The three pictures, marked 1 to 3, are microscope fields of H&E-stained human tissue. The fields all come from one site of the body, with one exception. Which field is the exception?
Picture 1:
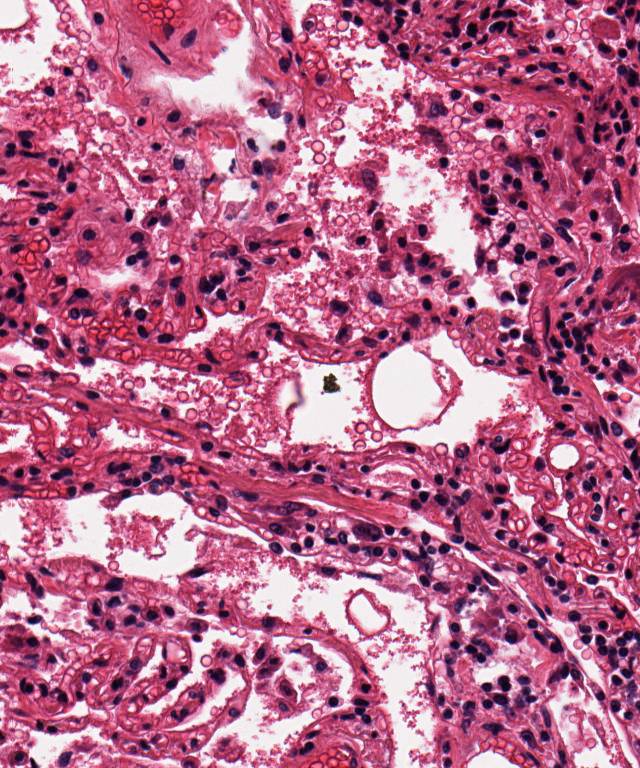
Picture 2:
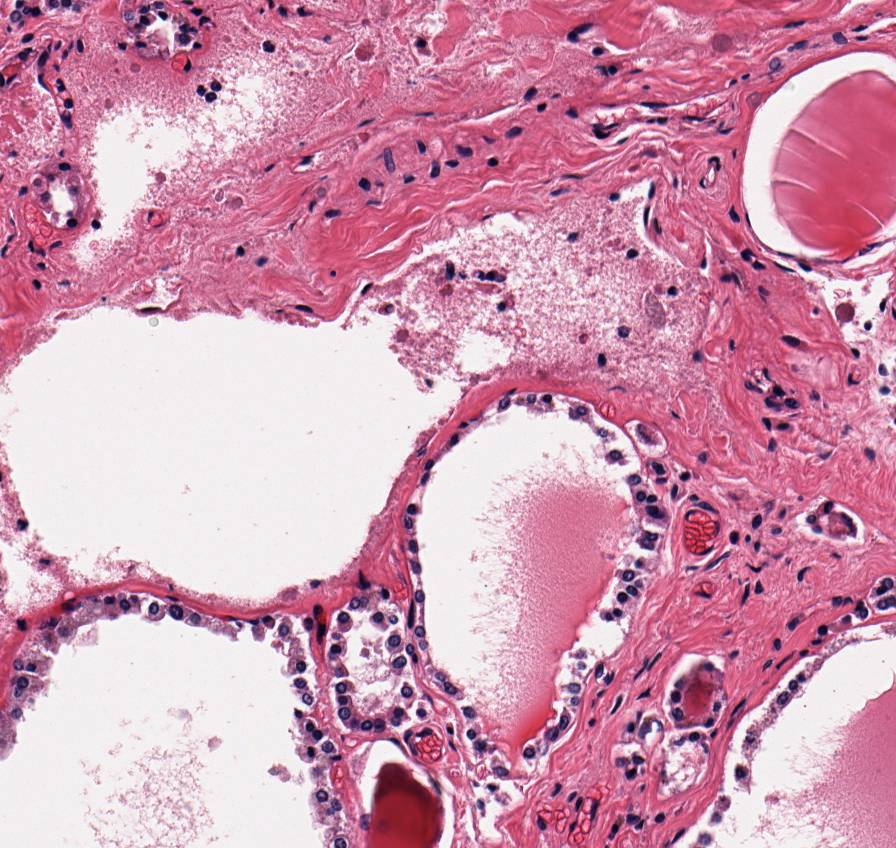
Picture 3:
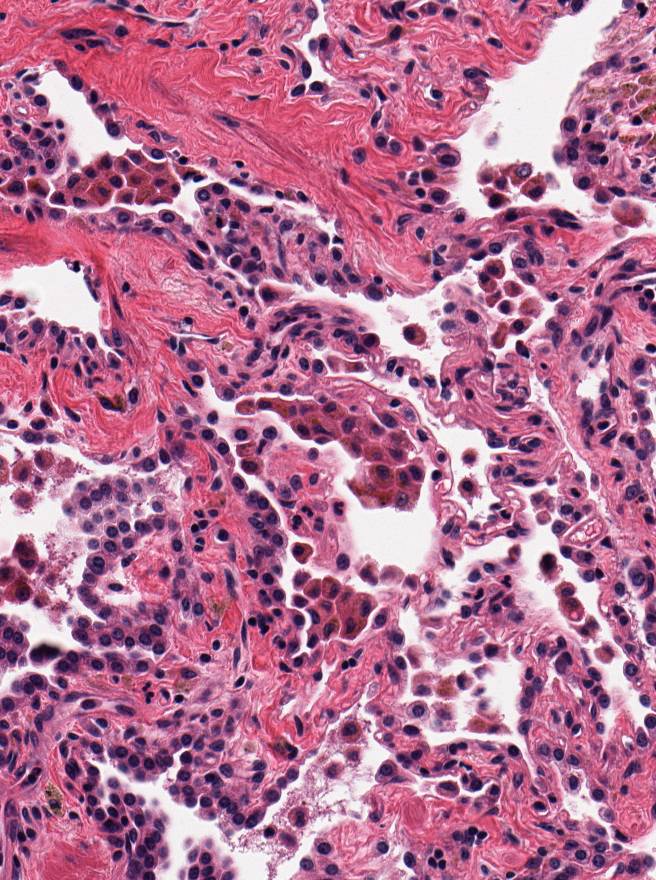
2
